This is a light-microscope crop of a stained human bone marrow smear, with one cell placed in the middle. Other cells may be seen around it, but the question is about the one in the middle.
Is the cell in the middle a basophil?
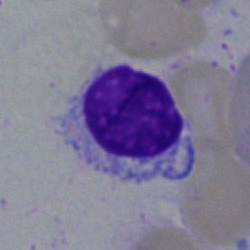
no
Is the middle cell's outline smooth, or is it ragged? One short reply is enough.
The outer contour of the cell is irregular, with ragged portions or projections along it.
